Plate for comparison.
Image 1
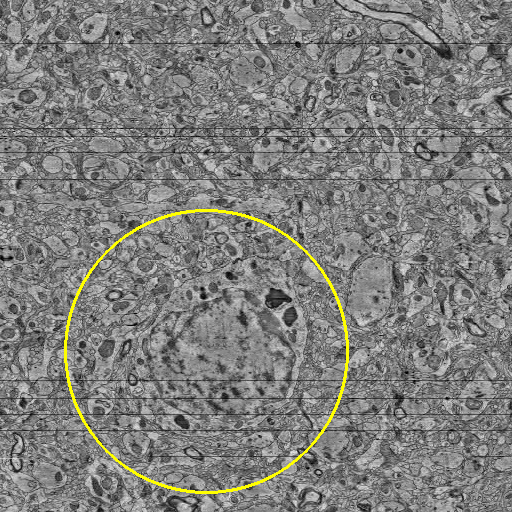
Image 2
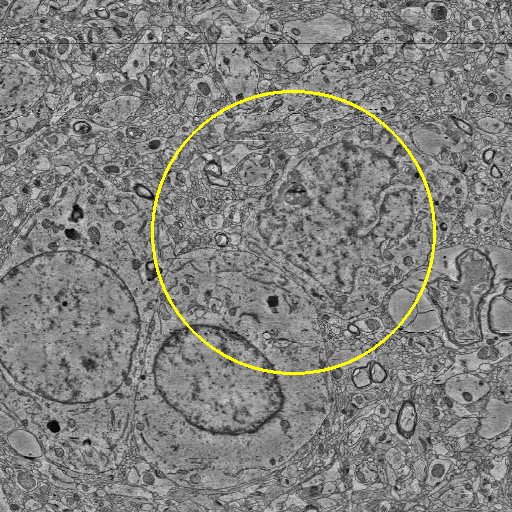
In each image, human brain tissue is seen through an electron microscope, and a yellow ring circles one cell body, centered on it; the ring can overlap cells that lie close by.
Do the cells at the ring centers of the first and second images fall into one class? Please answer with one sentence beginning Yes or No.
Yes, the first and second images show a single class of cell at the ring centers.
